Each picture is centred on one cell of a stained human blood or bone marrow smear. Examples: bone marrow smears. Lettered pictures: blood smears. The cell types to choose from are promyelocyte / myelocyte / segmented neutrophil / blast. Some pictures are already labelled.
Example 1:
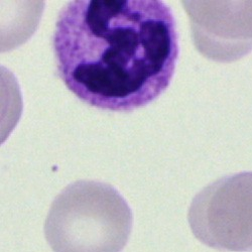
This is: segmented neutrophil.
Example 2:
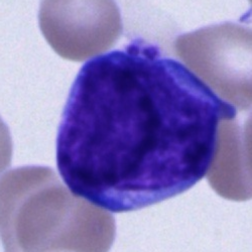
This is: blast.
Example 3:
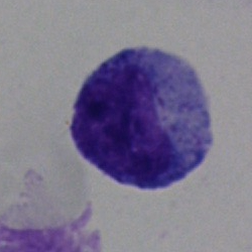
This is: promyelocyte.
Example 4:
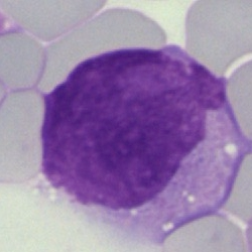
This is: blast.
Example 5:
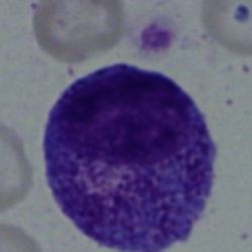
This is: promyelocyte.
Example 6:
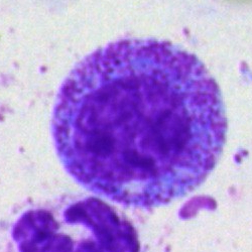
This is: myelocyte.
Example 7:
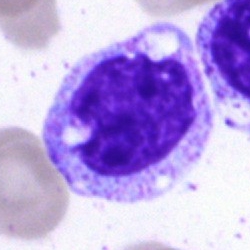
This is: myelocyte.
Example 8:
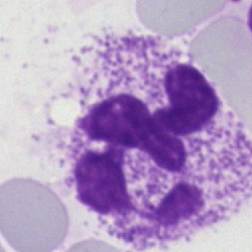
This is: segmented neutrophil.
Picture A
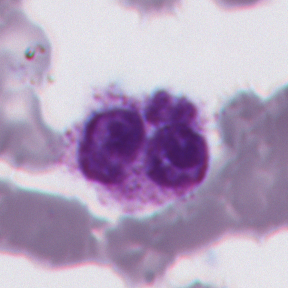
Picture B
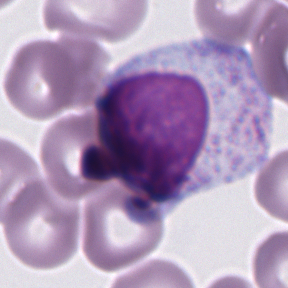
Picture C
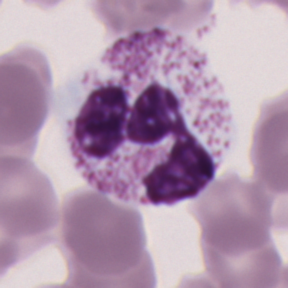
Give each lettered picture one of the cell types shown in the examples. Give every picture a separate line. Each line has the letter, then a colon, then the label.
A: segmented neutrophil.
B: myelocyte.
C: segmented neutrophil.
